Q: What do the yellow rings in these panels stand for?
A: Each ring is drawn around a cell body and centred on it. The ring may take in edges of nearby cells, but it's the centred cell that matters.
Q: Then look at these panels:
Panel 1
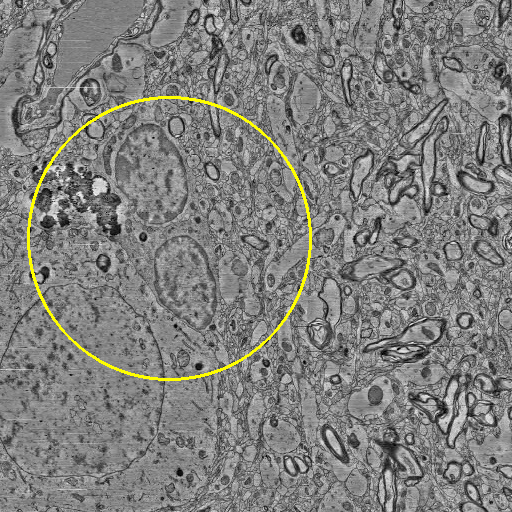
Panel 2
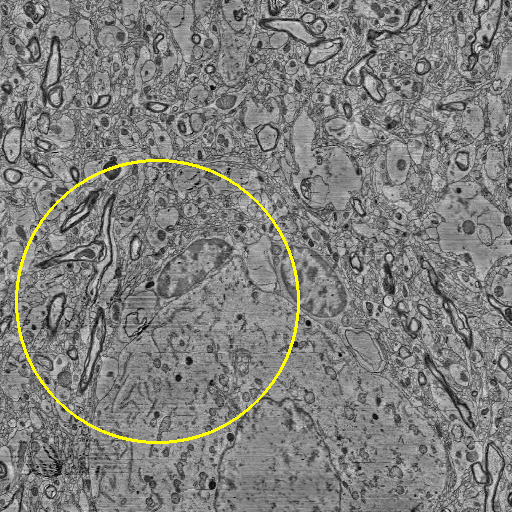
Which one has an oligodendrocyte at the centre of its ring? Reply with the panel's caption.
Panel 1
